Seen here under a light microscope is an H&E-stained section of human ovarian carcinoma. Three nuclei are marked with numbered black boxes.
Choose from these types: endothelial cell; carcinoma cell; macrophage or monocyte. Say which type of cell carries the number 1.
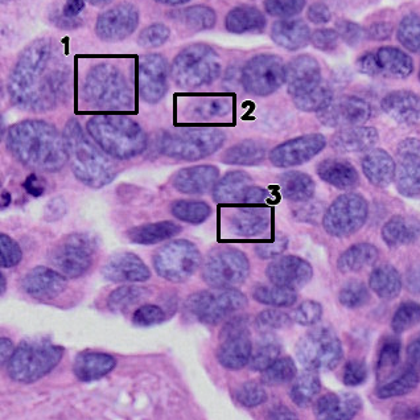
carcinoma cell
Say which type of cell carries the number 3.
carcinoma cell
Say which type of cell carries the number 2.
macrophage or monocyte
